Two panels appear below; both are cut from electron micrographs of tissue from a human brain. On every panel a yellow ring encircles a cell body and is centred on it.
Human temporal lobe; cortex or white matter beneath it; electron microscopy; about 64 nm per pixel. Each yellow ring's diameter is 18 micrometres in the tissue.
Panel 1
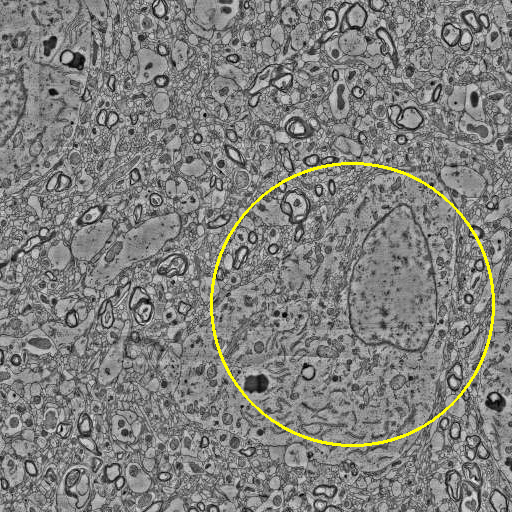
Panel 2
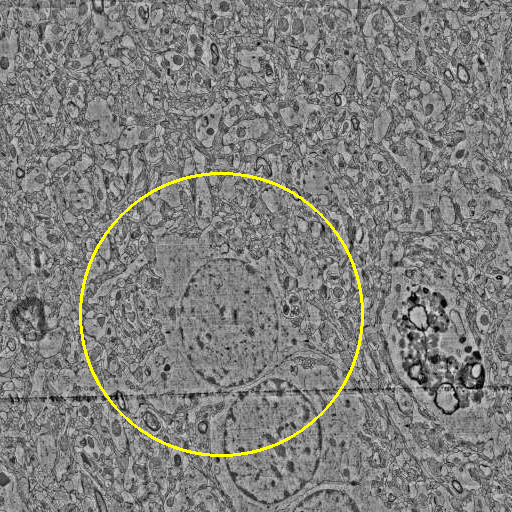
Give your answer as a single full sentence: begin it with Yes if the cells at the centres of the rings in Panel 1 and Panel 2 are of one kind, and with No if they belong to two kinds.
No, the cells in the middle of the rings in Panels 1 and 2 are of two kinds.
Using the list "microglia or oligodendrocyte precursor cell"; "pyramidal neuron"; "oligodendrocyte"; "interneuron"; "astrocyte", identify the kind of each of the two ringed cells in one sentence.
The first is a pyramidal neuron and the second is an astrocyte.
